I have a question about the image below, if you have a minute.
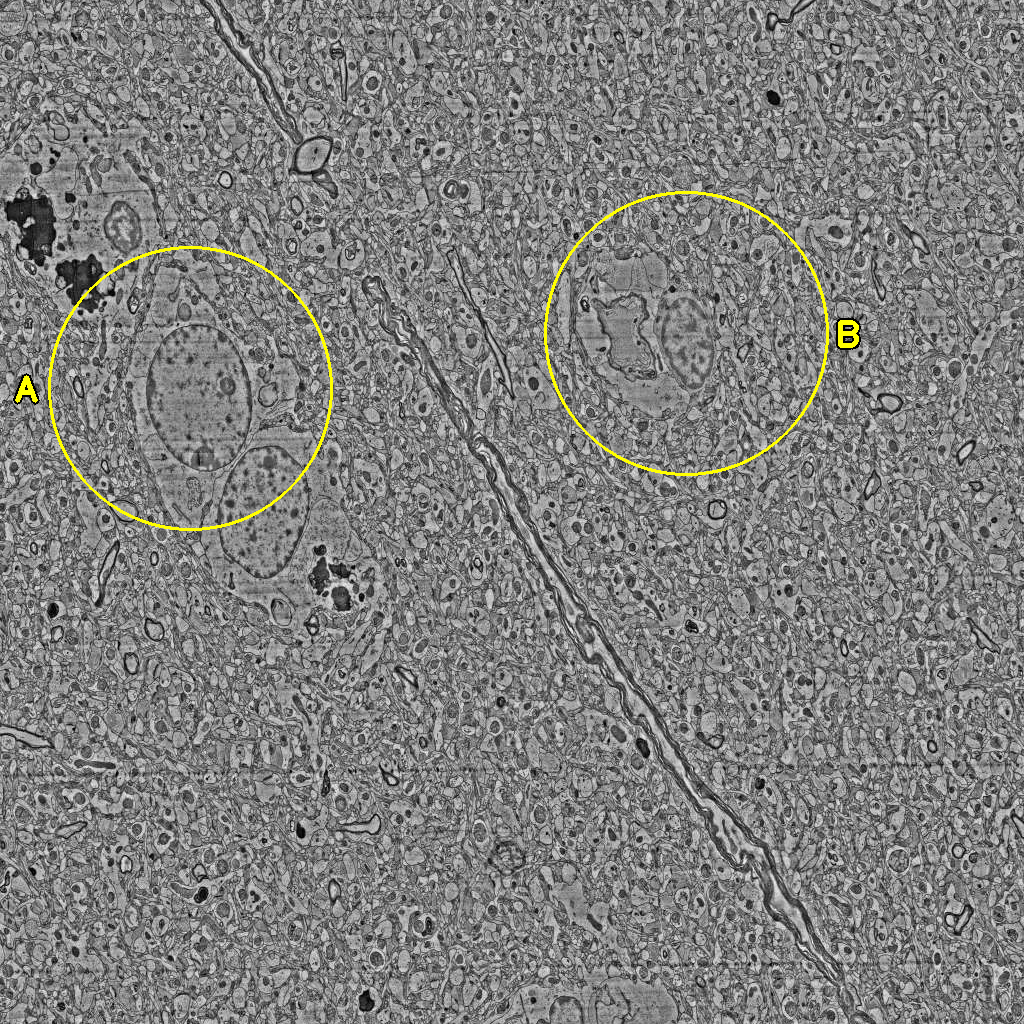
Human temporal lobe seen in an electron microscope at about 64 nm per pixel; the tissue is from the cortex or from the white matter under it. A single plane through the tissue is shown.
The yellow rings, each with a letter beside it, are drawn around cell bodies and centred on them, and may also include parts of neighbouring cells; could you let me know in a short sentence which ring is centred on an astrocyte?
Ring A is centred on it.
